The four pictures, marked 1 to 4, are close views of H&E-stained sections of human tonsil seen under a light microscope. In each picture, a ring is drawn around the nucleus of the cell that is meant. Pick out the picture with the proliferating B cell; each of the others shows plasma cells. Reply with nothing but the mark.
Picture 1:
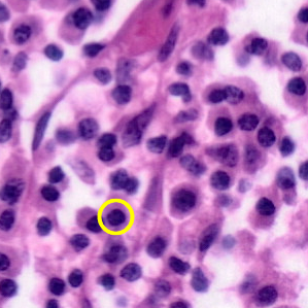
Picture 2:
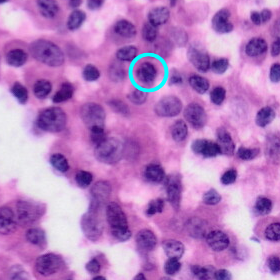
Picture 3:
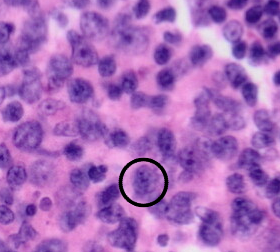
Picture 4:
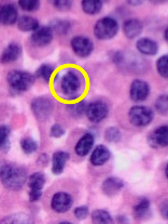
3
